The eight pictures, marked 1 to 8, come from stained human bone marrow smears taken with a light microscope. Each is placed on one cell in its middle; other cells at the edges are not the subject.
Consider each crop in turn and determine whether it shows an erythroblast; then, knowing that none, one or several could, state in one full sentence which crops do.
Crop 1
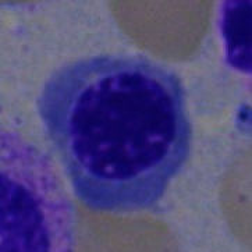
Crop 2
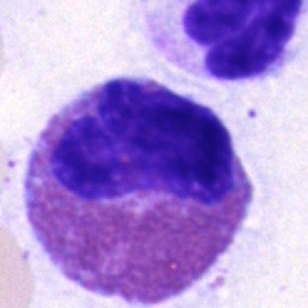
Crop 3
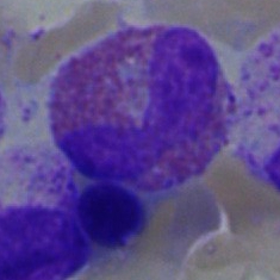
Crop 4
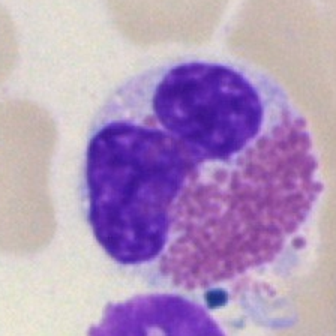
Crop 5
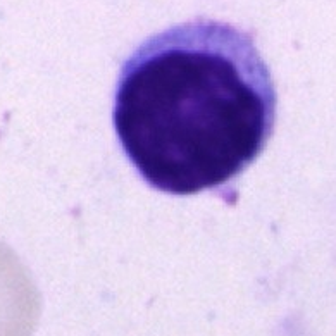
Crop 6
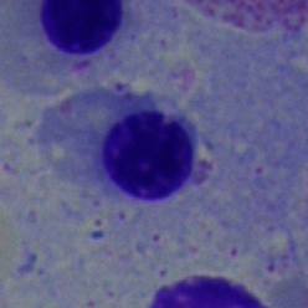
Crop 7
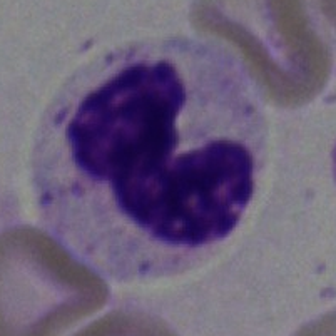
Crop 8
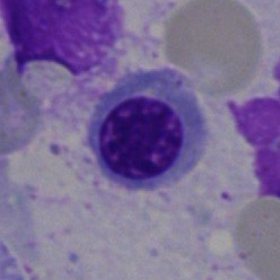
Crops 1, 6 and 8 are designated as showing erythroblasts.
